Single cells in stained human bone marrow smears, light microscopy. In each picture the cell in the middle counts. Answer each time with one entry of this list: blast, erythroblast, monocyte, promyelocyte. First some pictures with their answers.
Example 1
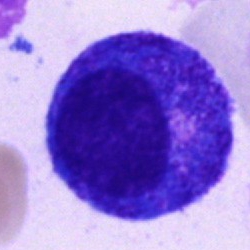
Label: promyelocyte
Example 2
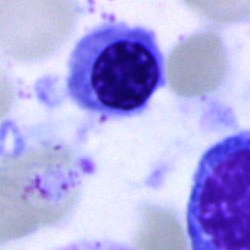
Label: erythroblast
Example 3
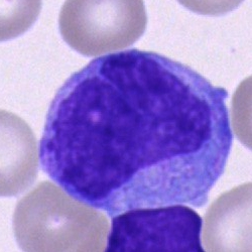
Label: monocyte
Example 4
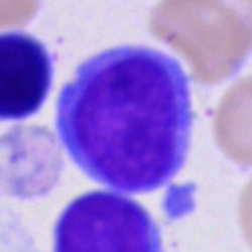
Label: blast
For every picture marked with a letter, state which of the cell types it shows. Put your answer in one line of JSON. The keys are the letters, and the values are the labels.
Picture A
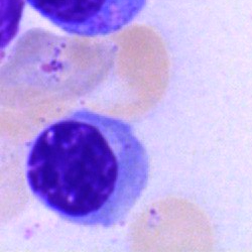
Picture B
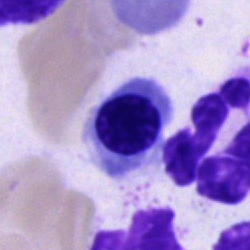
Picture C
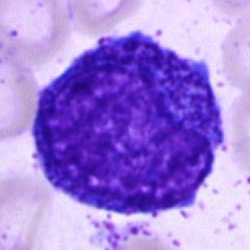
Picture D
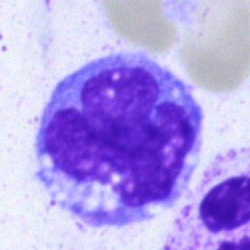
{"A": "erythroblast", "B": "erythroblast", "C": "promyelocyte", "D": "monocyte"}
